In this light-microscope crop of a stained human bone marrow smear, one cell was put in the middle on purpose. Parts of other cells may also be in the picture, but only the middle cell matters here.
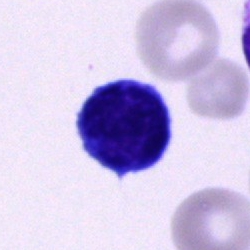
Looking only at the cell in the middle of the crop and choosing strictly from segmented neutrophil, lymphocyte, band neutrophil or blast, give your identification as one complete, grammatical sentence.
Framed in the middle of the crop is a lymphocyte.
